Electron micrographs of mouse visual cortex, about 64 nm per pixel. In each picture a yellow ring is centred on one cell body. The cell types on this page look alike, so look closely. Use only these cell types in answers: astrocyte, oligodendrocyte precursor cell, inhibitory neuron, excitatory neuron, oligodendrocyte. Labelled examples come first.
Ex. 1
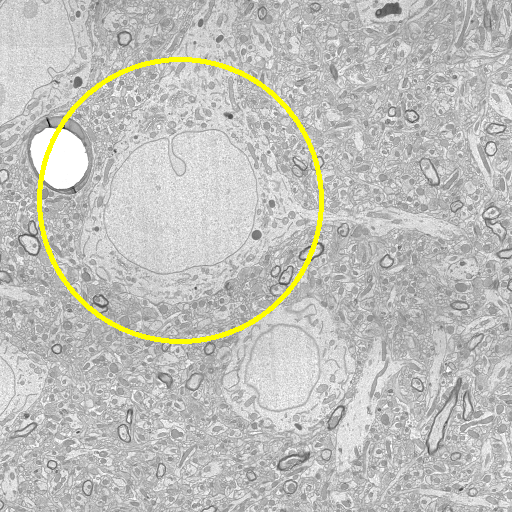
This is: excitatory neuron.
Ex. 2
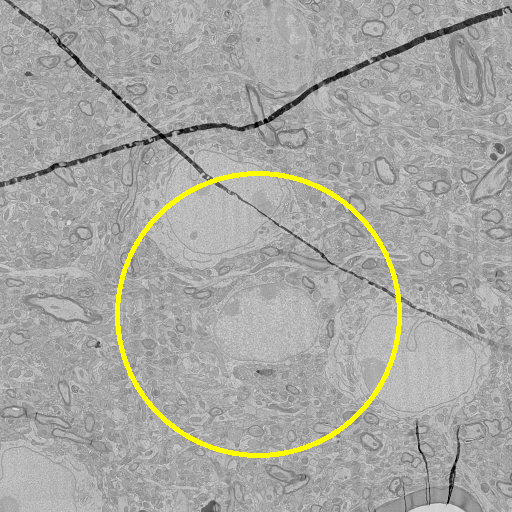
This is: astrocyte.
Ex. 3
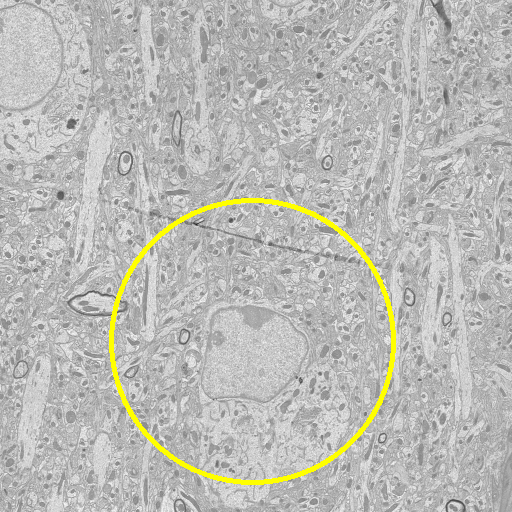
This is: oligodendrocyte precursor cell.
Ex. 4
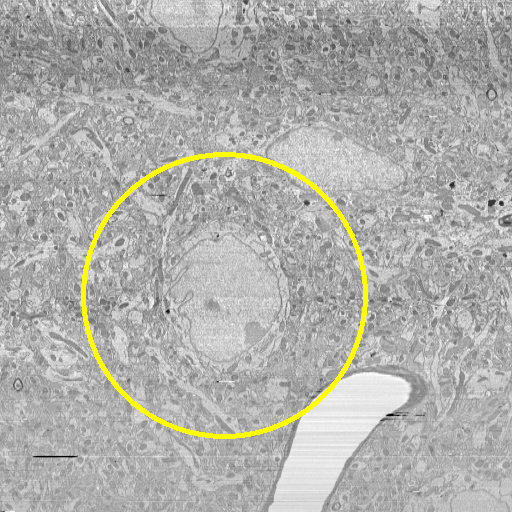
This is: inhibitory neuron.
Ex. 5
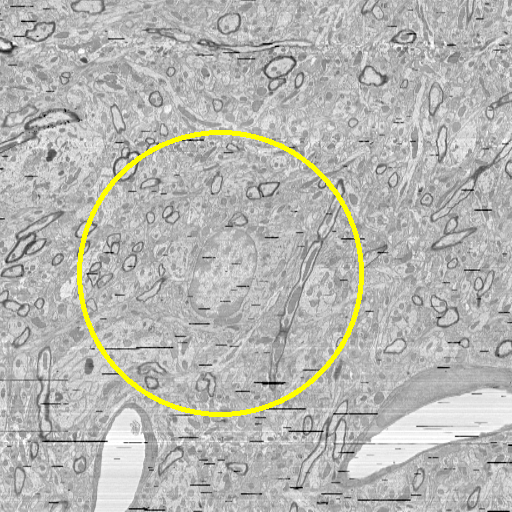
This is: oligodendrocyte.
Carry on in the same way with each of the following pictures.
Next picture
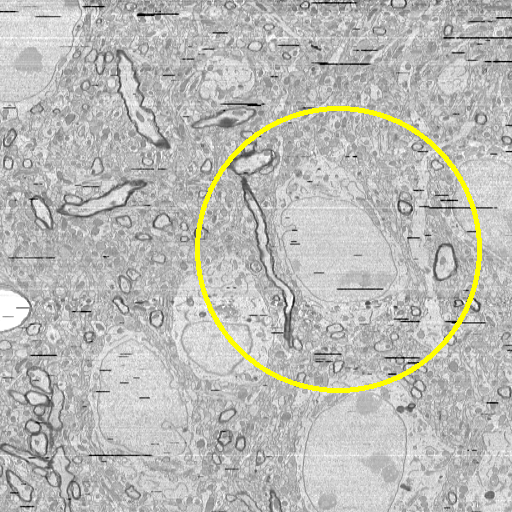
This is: excitatory neuron.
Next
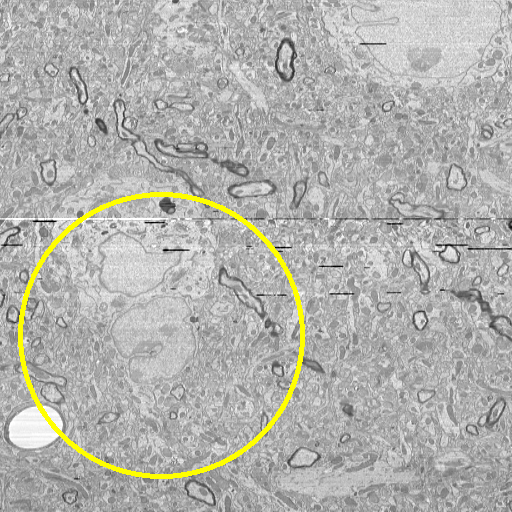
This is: oligodendrocyte precursor cell.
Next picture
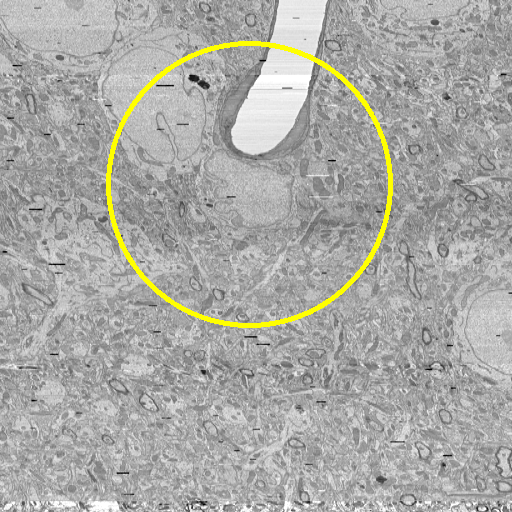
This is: oligodendrocyte precursor cell.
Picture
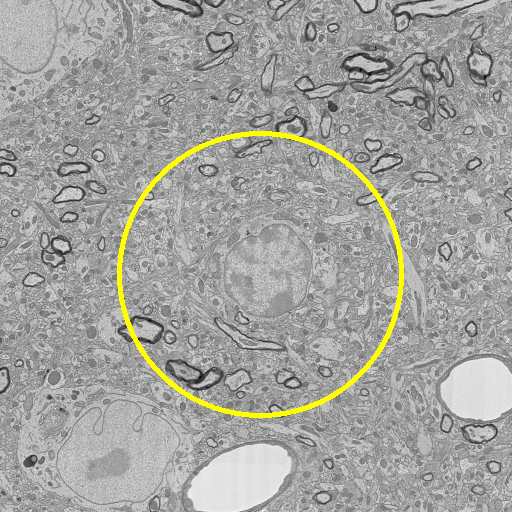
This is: oligodendrocyte.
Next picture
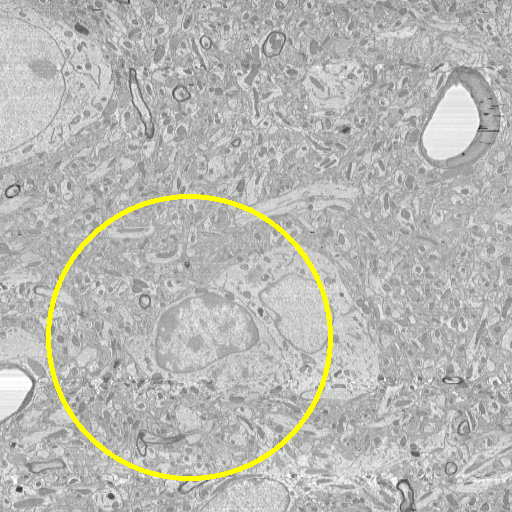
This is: oligodendrocyte.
